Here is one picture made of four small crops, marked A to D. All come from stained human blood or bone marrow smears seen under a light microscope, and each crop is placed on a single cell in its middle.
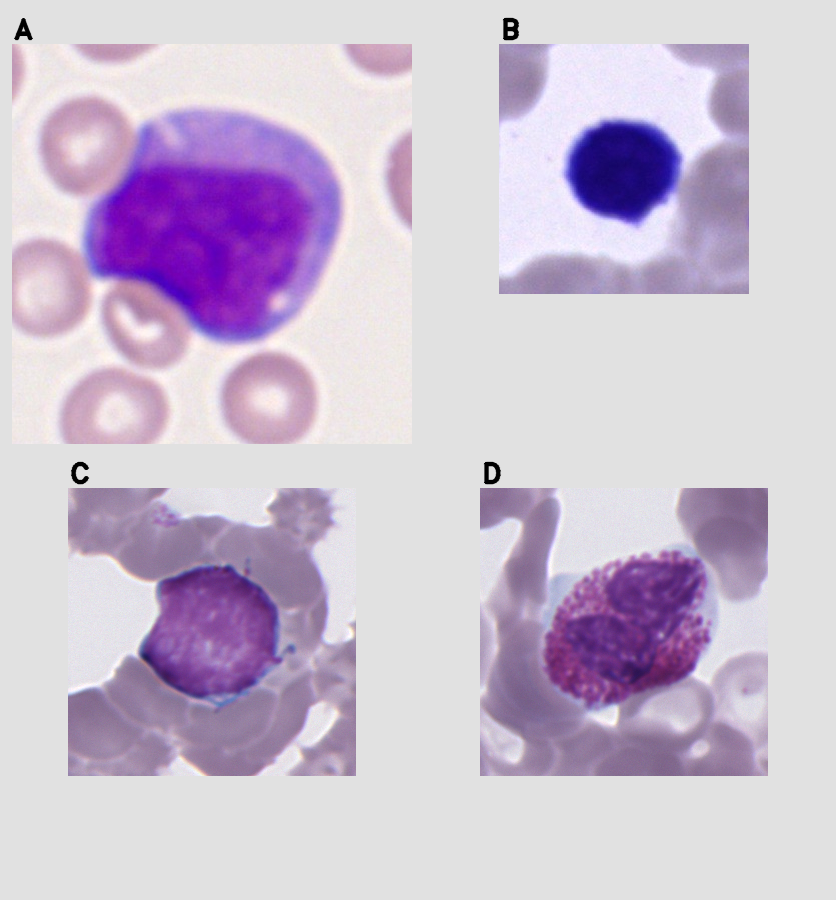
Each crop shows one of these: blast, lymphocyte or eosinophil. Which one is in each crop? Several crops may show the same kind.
A: blast
B: lymphocyte
C: lymphocyte
D: eosinophil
